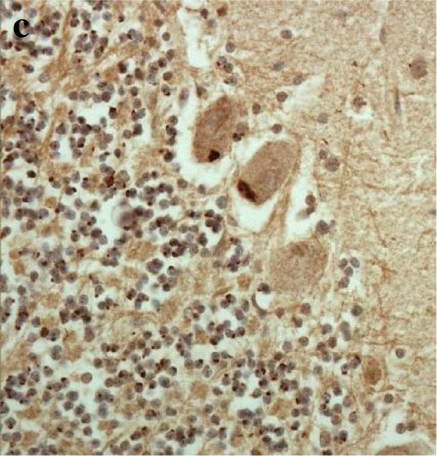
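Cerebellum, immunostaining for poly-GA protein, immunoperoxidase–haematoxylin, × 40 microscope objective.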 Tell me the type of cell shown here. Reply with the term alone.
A: Purkinje cells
